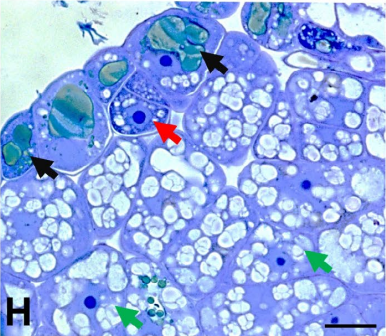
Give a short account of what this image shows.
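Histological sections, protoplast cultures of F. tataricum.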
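A section of callus tissue shows a surface layer of cells above larger parenchymatous cells. Several surface cells hold blue-green deposits, beside a small cell with dense purple cytoplasm and a nucleus with a dark nucleolus. The inner cells are packed with many small clear rounded inclusions and have small nuclei.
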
